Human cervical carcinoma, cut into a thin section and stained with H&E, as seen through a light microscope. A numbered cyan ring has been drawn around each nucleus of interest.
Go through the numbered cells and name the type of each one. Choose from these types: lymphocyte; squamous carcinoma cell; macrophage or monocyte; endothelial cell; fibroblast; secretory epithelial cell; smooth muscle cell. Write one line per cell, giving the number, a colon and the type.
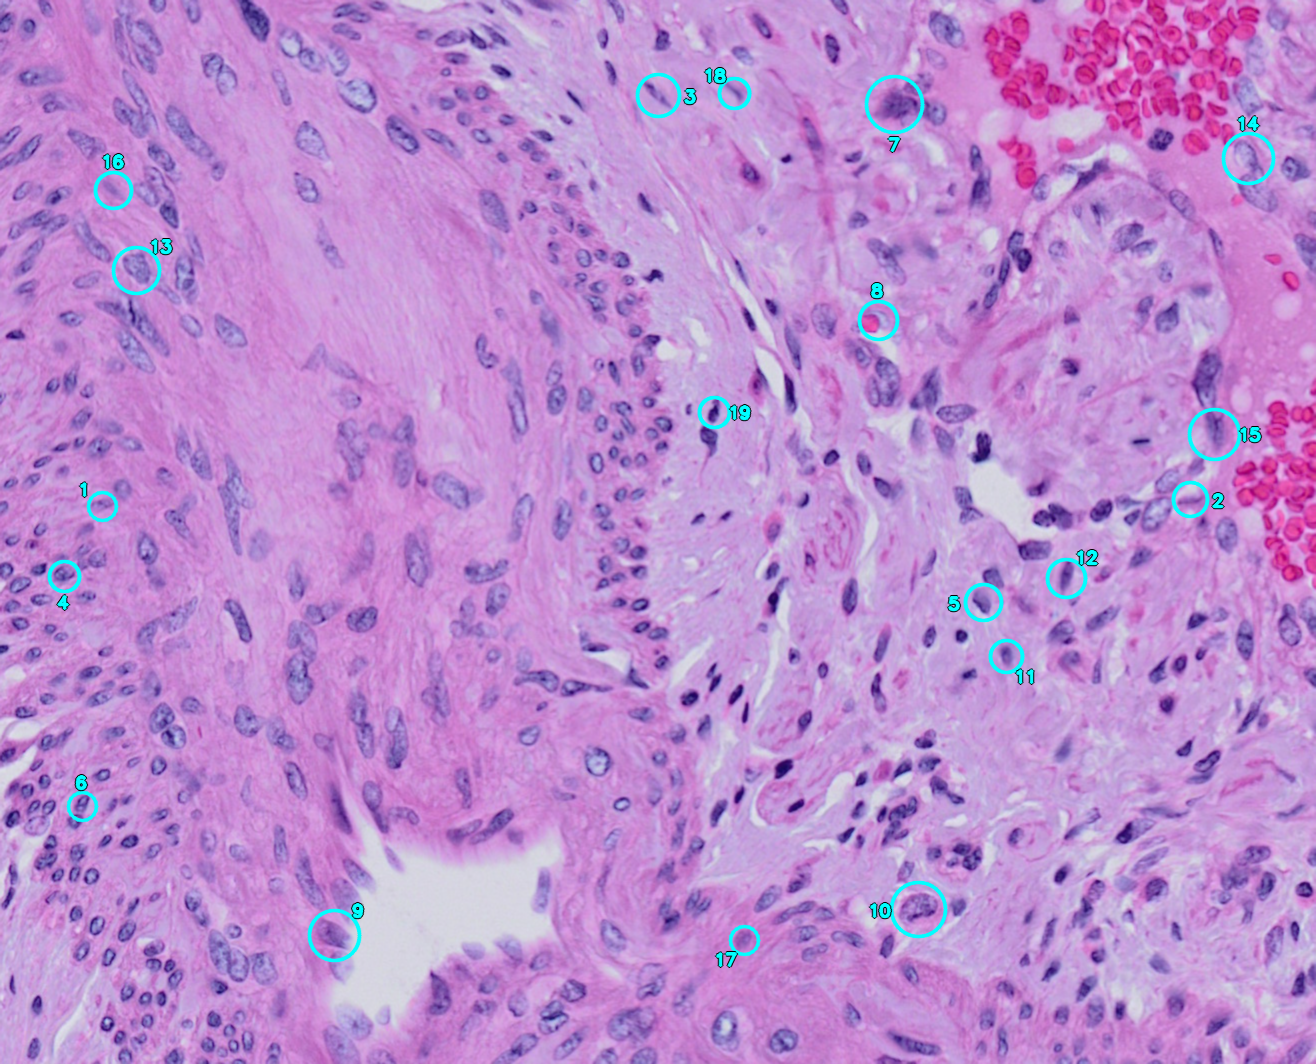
1: smooth muscle cell
2: endothelial cell
3: fibroblast
4: smooth muscle cell
5: fibroblast
6: smooth muscle cell
7: endothelial cell
8: endothelial cell
9: endothelial cell
10: macrophage or monocyte
11: fibroblast
12: fibroblast
13: smooth muscle cell
14: endothelial cell
15: endothelial cell
16: smooth muscle cell
17: smooth muscle cell
18: fibroblast
19: fibroblast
